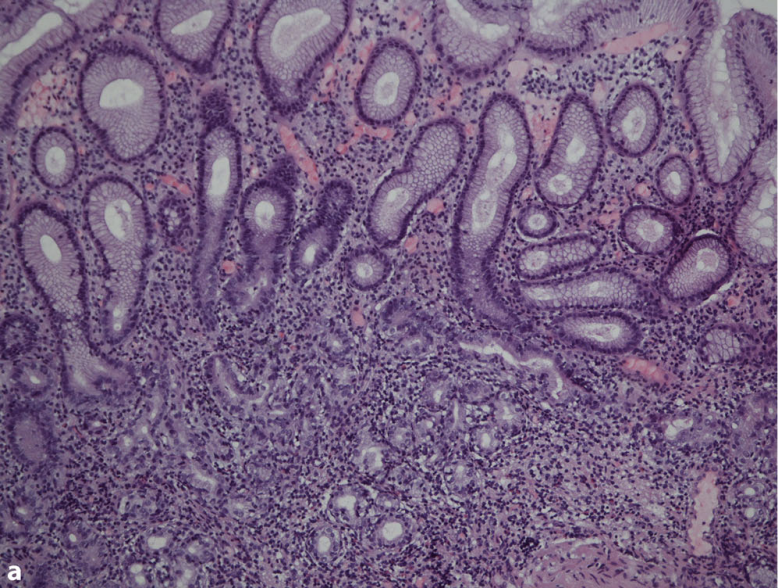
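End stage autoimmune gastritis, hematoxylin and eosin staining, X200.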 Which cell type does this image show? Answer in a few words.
Mononuclear cells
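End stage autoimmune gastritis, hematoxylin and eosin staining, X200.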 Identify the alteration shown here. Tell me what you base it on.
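Glands are lined by pale mucous columnar cells. No large pink-cytoplasm cells are seen in the deep glands. The answer: Total loss of parietal cells.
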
